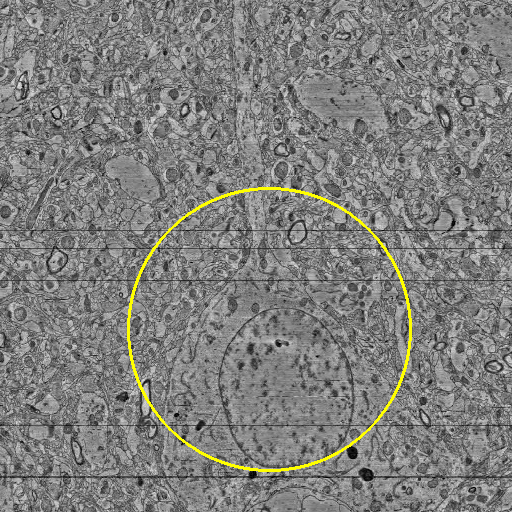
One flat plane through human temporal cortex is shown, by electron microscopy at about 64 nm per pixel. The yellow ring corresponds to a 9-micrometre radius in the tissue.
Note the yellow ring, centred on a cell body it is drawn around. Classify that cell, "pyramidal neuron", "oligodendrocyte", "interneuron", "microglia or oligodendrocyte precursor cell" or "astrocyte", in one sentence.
The cell the ring is centred on is a pyramidal neuron.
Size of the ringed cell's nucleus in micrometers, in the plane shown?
The nucleus comes to roughly 11 by 8 micrometres in this plane.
